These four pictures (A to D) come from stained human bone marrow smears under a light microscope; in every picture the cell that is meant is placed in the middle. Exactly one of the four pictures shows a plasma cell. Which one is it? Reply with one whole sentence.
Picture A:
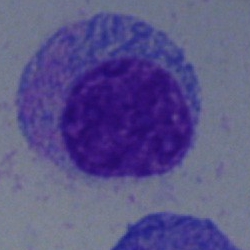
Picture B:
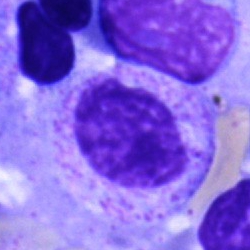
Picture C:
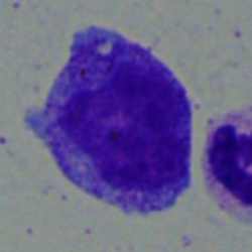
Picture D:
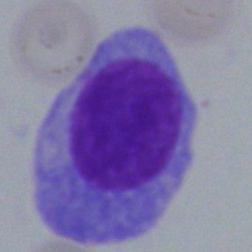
The picture with the plasma cell is D.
